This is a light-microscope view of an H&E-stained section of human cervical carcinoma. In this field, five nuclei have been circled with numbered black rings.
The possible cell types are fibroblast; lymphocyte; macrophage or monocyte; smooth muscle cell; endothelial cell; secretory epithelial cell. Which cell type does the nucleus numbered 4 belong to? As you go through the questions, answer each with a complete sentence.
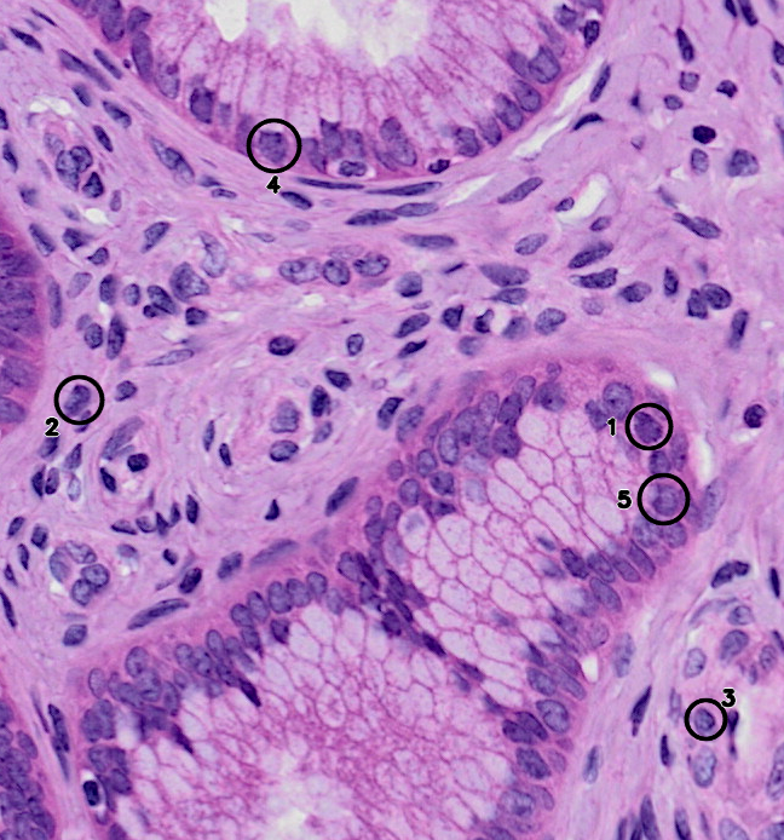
Among the marked cells, number 4 is a secretory epithelial cell.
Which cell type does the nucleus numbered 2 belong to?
The cell numbered 2 has been identified as a fibroblast.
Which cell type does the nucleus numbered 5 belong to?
Cell number 5 in this section is a secretory epithelial cell.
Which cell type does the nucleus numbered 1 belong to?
The numeral 1 marks a secretory epithelial cell in this section.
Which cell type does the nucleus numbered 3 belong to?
Identified as a smooth muscle cell is the cell bearing the number 3.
